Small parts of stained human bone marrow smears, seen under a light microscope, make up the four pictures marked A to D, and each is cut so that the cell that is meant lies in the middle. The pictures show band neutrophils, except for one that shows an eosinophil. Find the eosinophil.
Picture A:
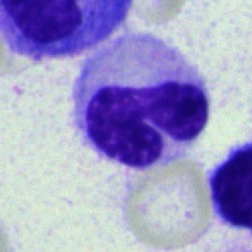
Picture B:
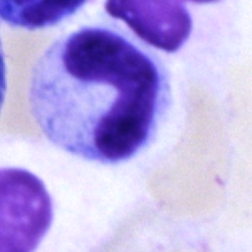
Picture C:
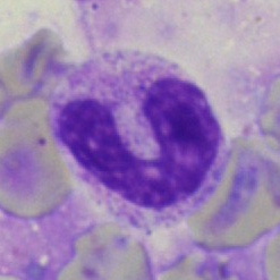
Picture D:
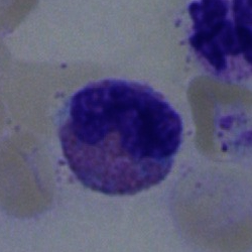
D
